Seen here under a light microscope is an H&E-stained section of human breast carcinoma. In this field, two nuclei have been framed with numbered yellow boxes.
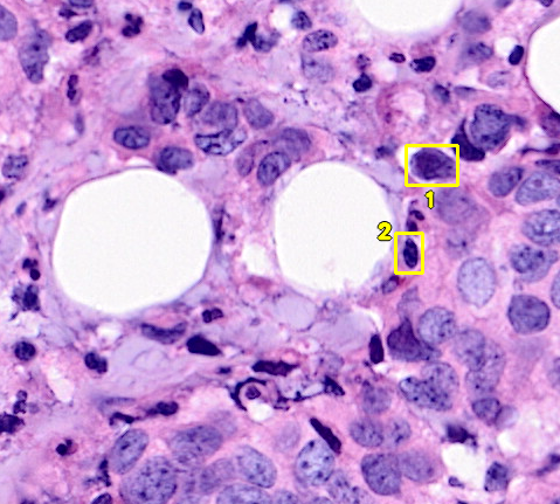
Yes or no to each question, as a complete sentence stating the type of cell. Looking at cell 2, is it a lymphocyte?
Yes, the cell referred to as number 2 is a lymphocyte.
